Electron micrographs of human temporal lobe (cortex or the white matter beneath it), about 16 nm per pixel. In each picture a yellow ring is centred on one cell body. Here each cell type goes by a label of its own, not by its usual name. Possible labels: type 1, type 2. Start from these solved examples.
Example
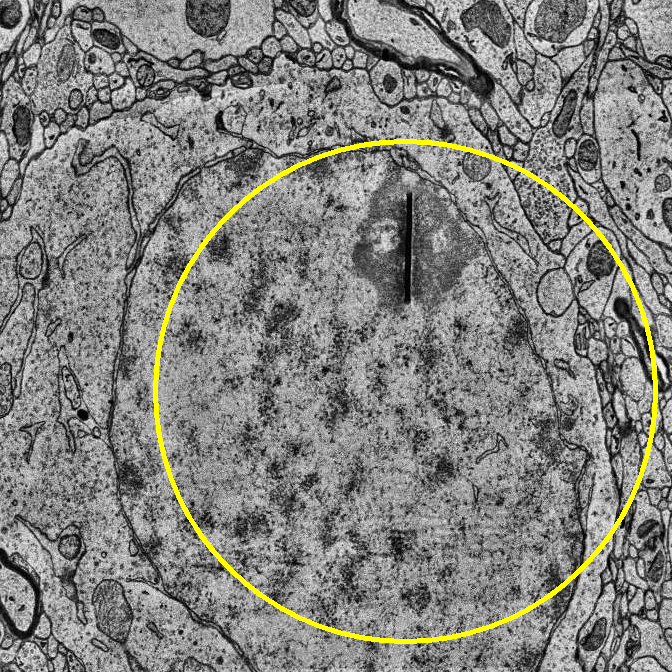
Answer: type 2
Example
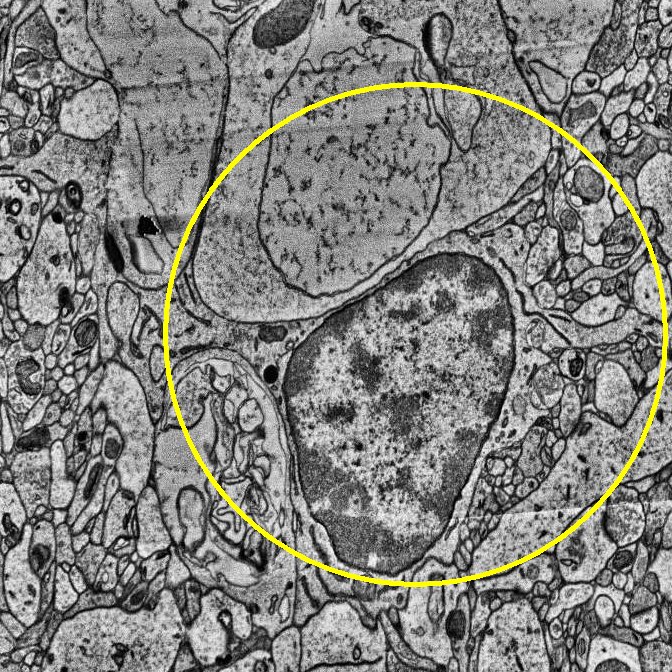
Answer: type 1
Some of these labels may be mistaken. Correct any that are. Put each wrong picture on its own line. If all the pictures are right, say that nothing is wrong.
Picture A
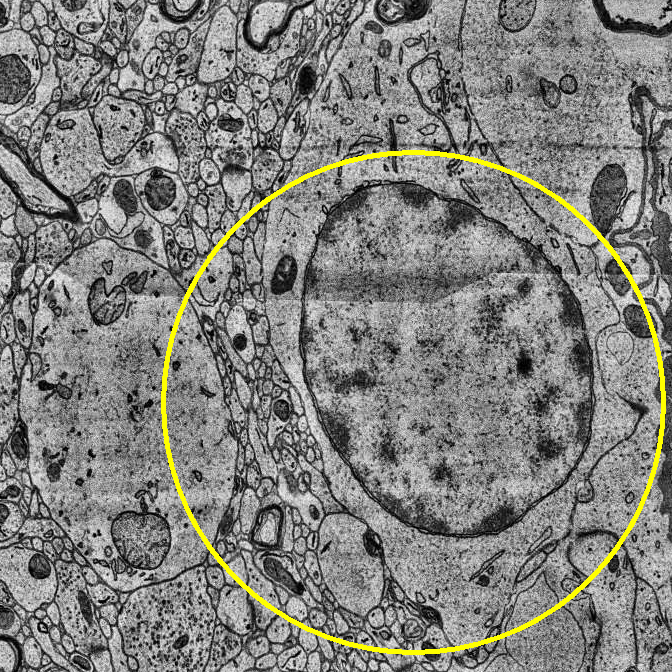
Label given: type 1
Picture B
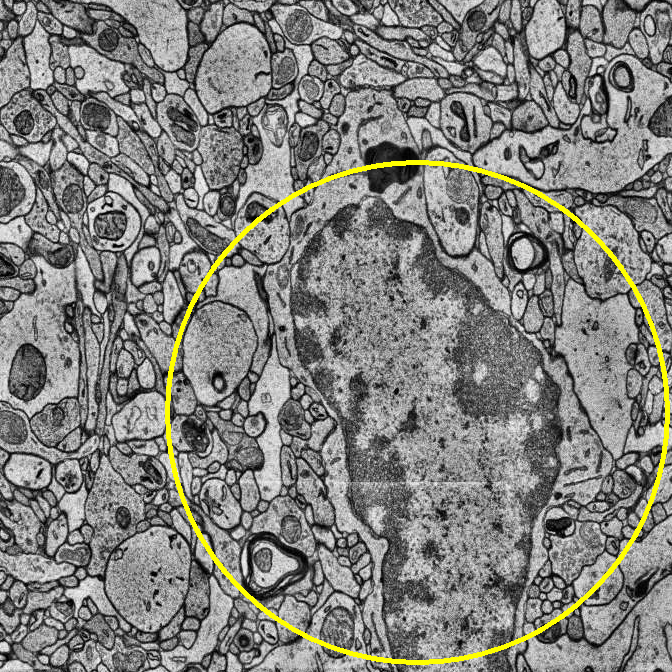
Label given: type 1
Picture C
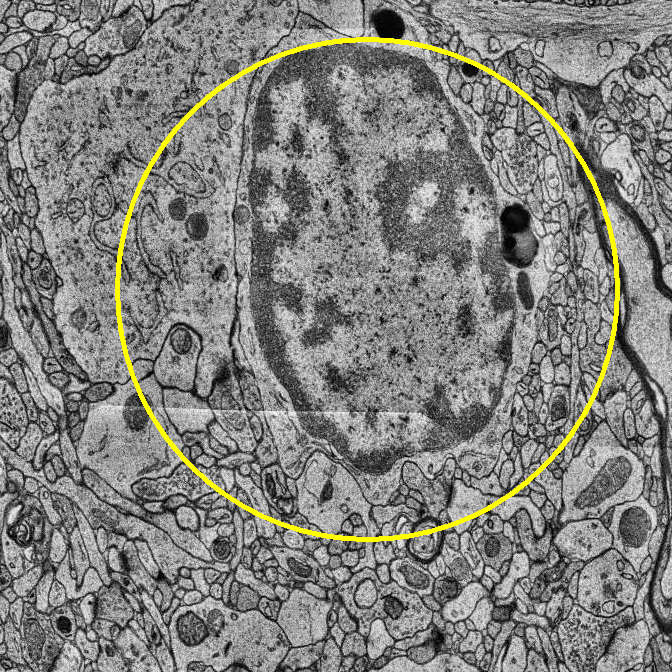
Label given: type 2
Wrong: C (type 2); correct: type 1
